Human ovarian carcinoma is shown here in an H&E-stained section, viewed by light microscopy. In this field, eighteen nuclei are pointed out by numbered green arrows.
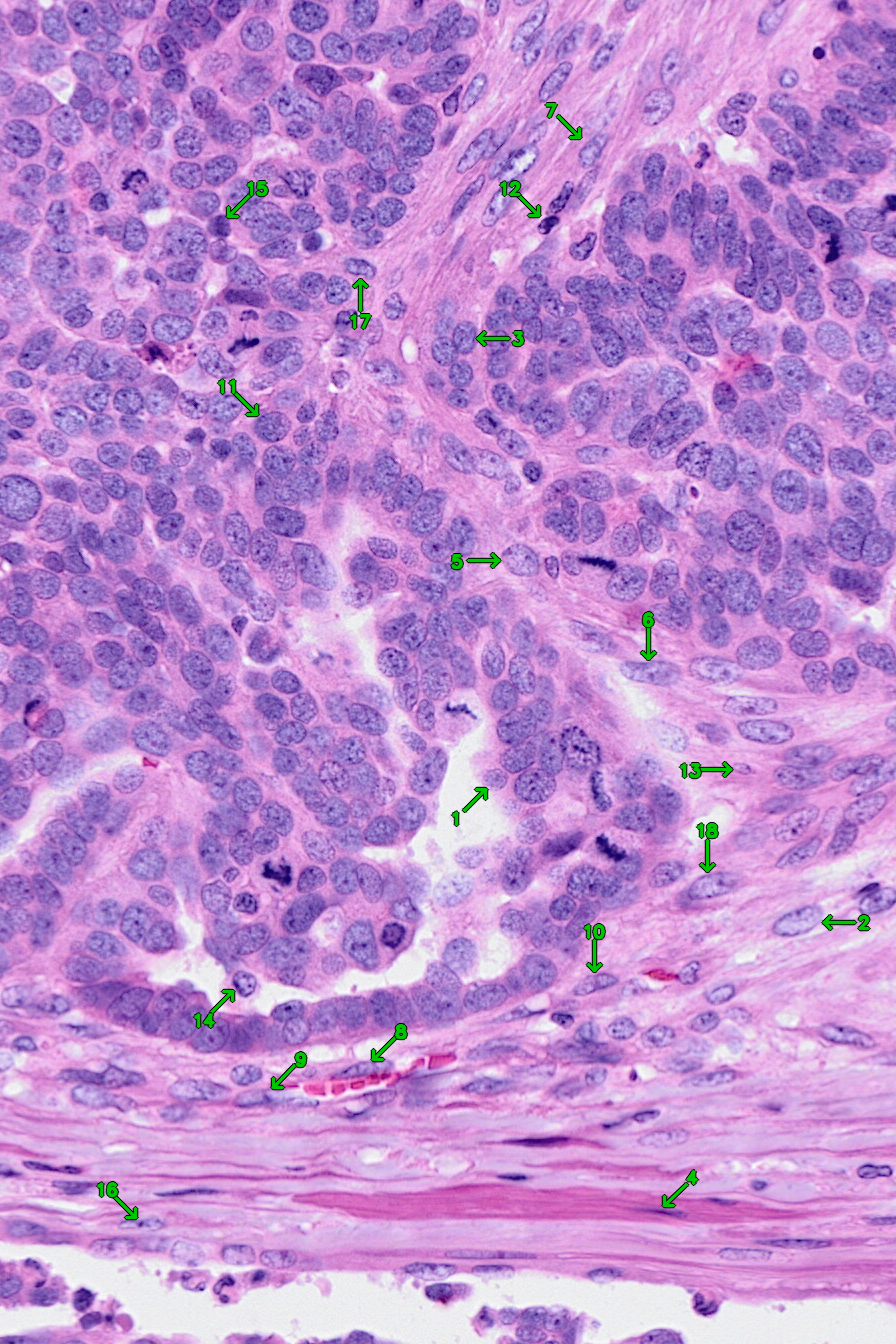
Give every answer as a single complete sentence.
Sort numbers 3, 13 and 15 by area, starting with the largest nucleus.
From largest to smallest, the order is 3, 15, 13.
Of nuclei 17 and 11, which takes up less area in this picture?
Nucleus 17 covers less area, with nucleus 11 about 1.5 times as large.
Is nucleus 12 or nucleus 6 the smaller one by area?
Number 12 is smaller, since number 6 takes up about 4 times as much area.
